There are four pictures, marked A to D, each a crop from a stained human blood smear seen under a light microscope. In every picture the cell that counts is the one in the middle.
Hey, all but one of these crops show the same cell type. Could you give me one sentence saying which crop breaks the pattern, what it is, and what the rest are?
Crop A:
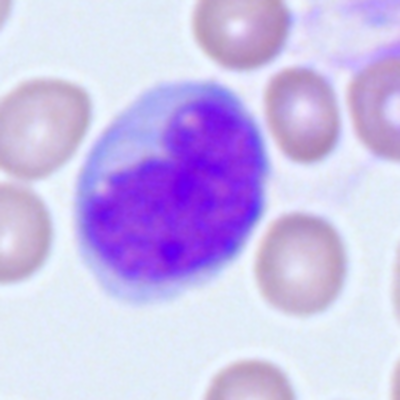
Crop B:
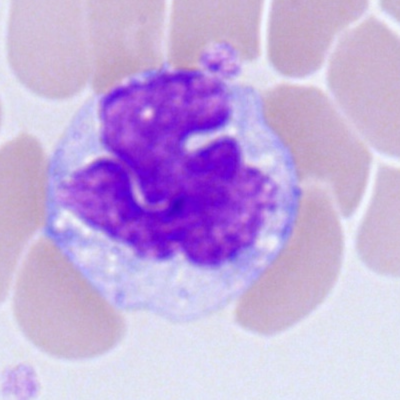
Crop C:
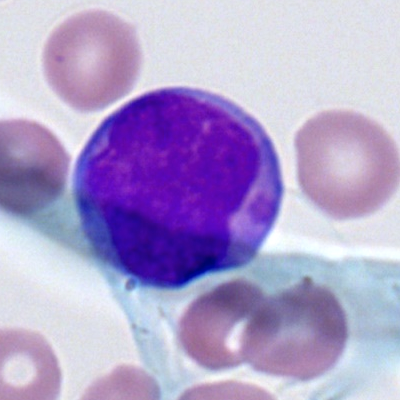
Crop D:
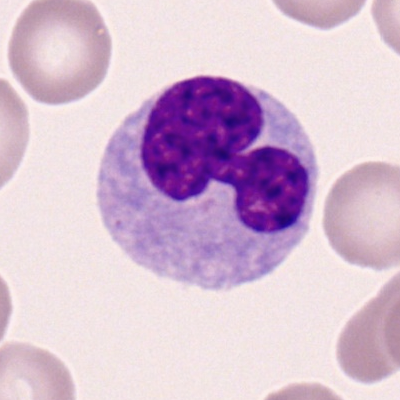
Crop C is the one to flag: it is a myeloblast, and the rest show monocytes.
